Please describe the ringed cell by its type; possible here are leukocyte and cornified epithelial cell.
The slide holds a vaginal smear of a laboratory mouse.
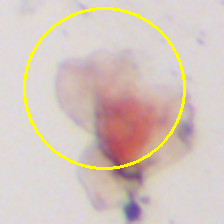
The yellow ring marks a cornified epithelial cell.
